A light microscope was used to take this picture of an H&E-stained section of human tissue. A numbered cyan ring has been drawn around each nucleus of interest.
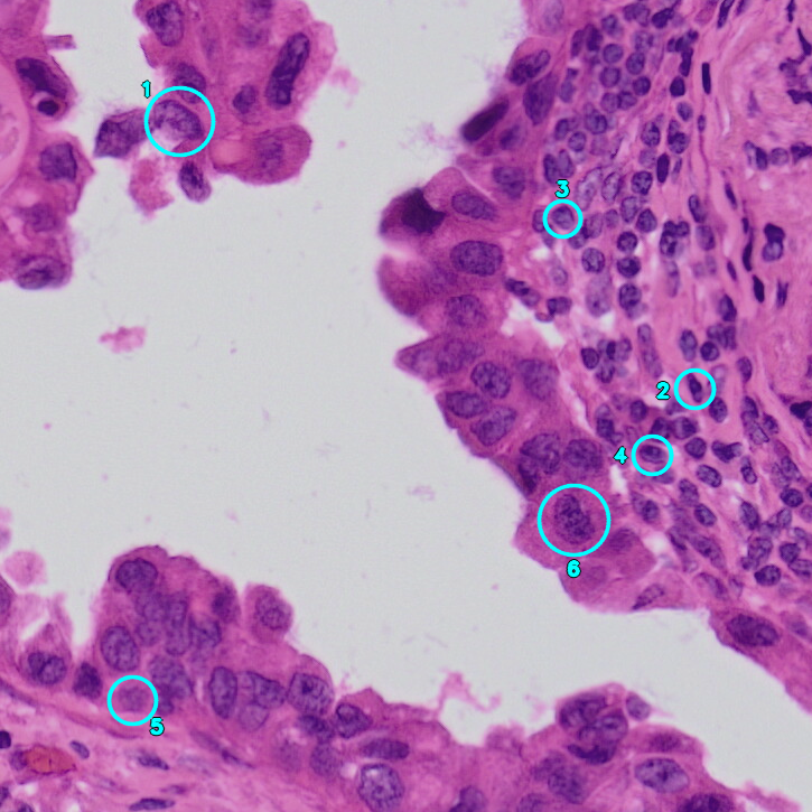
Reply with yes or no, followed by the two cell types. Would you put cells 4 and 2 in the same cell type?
Yes, both cell 4 and cell 2 are classified as lymphocytes.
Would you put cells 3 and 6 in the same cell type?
No, cell 3 should be called a lymphocyte, and cell 6 should be called a carcinoma cell.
